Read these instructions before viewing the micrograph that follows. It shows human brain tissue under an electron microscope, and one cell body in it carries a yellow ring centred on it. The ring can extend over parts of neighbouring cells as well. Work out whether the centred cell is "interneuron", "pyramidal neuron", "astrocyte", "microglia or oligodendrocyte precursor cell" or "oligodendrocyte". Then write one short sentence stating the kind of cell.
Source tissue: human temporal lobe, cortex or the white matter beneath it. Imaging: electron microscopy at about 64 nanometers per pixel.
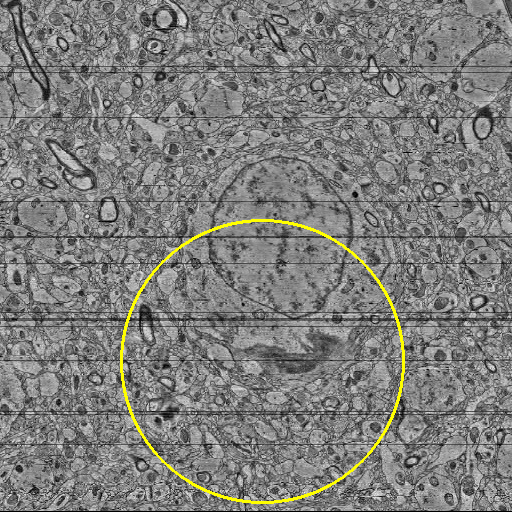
The ringed cell is an oligodendrocyte.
